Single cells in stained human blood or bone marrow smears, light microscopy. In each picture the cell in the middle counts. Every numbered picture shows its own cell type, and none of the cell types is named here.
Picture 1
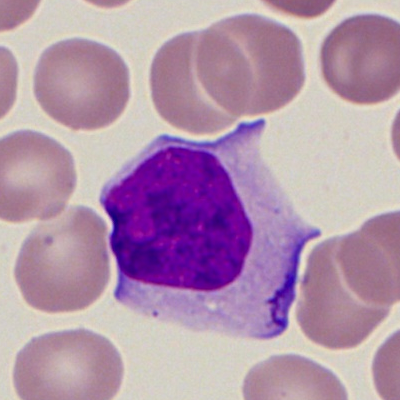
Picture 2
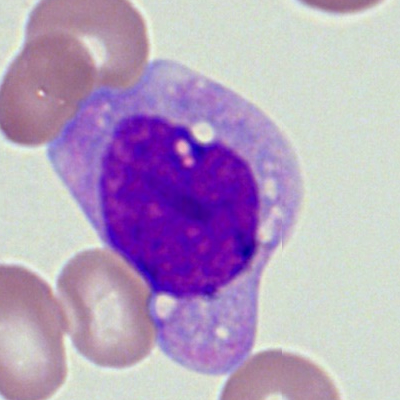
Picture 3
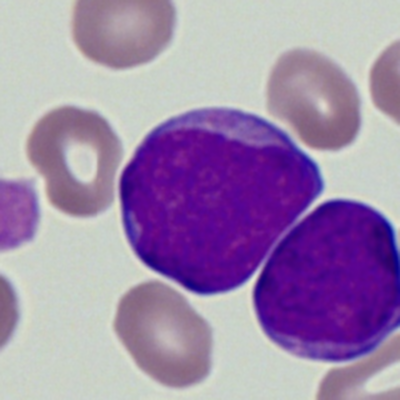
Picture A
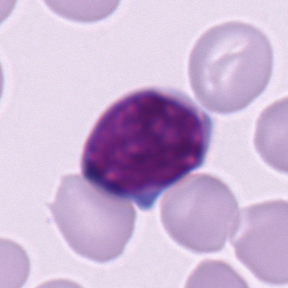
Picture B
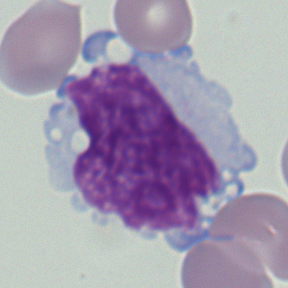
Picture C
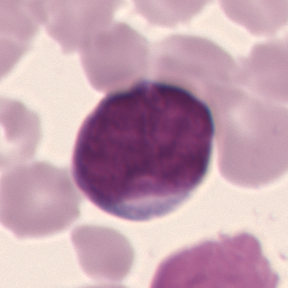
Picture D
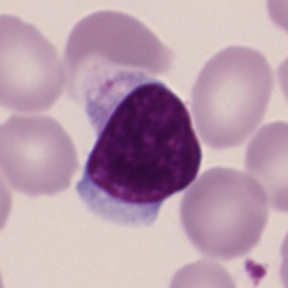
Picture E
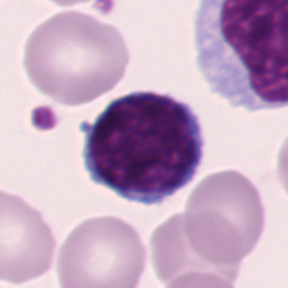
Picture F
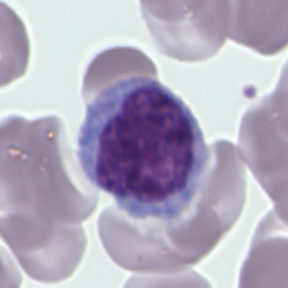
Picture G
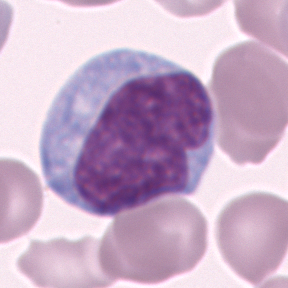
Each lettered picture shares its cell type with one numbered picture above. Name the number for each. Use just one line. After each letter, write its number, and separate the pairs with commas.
A 1, B 3, C 3, D 1, E 1, F 2, G 3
